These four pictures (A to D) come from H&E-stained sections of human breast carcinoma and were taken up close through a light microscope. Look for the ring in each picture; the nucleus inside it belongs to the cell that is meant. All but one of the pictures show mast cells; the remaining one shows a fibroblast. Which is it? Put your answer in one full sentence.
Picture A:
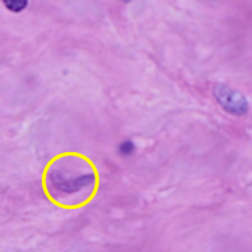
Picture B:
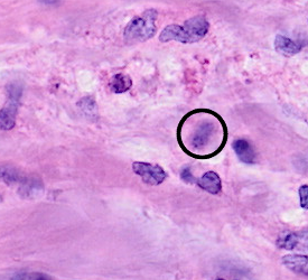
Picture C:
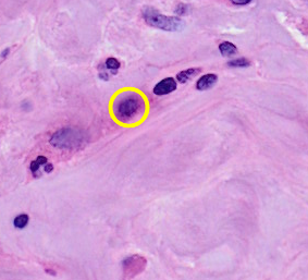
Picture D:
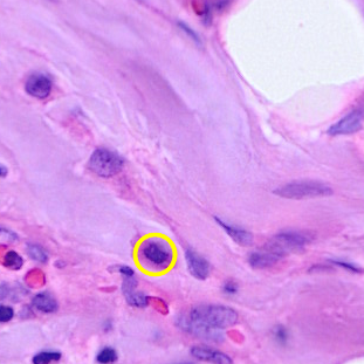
The picture with the fibroblast is A.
